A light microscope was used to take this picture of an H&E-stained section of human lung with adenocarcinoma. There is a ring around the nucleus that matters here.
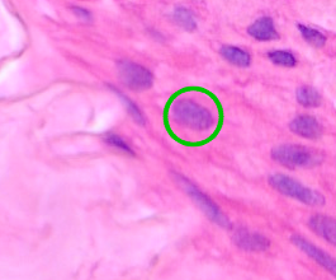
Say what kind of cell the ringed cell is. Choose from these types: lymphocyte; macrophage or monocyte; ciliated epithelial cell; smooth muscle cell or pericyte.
smooth muscle cell or pericyte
